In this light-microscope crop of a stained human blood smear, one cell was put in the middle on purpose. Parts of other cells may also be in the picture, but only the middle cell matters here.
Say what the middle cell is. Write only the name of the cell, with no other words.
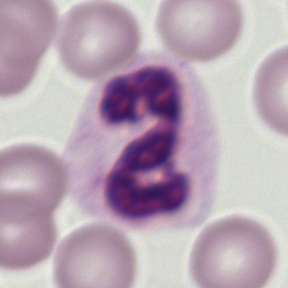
segmented neutrophil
